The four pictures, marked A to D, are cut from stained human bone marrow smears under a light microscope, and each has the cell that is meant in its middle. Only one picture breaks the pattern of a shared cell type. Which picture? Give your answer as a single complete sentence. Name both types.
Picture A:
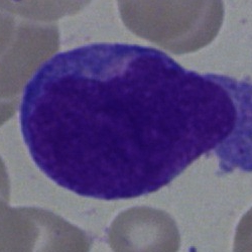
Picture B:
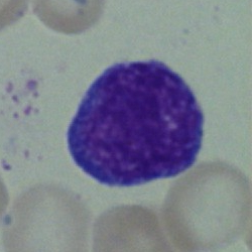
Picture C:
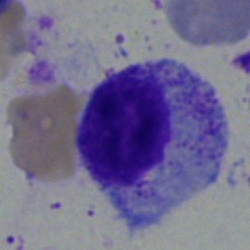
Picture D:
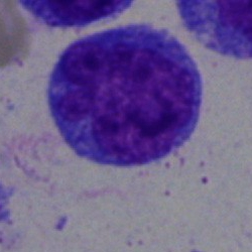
All pictures except C show blasts; picture C shows a myelocyte.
